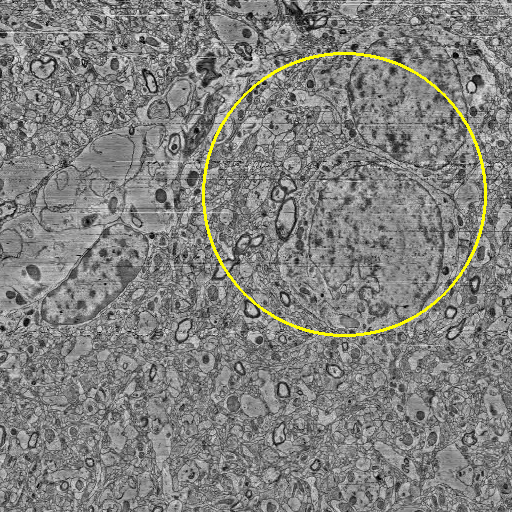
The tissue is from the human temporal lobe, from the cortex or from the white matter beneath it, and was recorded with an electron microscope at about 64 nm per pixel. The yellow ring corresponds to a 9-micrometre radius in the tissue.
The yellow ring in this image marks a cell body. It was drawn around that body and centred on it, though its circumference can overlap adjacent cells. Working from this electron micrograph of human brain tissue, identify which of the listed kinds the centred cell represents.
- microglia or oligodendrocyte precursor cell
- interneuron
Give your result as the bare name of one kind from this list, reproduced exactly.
interneuron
